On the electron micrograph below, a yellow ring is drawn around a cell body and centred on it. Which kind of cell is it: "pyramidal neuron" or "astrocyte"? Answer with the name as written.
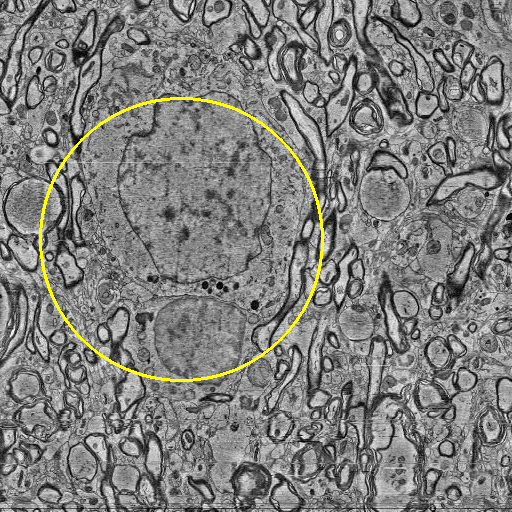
pyramidal neuron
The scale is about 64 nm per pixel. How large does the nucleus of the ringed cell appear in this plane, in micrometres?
Roughly 13 micrometres by 10 micrometres, in this plane.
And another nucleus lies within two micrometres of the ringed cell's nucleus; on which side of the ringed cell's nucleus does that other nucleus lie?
The other nucleus is positioned below it.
